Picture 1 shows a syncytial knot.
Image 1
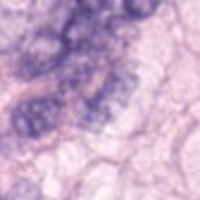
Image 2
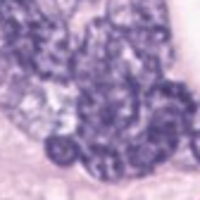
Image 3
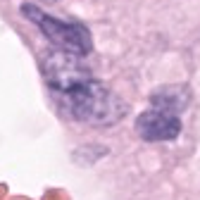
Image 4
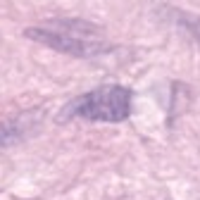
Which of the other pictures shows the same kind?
Picture 2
